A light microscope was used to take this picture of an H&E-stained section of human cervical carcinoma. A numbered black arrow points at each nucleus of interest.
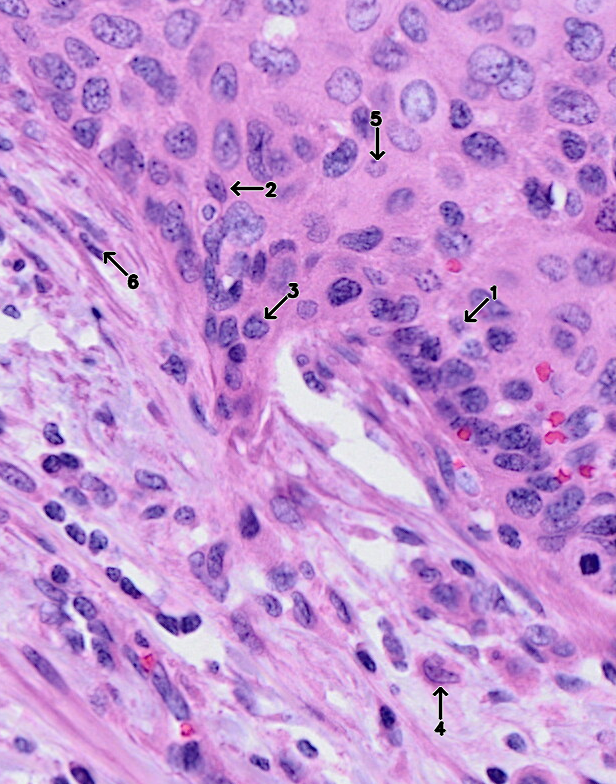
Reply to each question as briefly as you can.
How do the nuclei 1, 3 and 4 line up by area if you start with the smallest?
1, 3, 4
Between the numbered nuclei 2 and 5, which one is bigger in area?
2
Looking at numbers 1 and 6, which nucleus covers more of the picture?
6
